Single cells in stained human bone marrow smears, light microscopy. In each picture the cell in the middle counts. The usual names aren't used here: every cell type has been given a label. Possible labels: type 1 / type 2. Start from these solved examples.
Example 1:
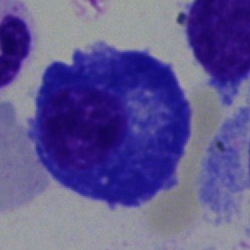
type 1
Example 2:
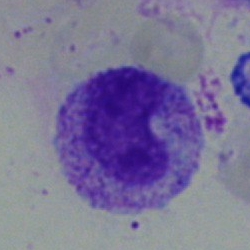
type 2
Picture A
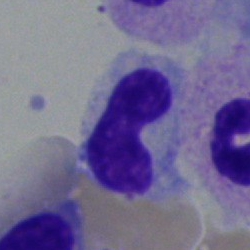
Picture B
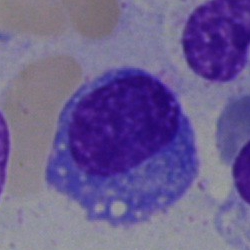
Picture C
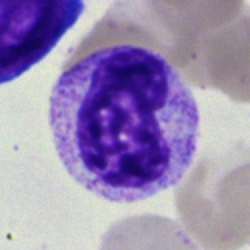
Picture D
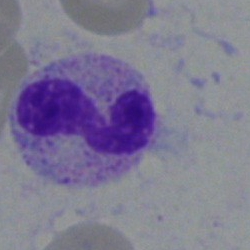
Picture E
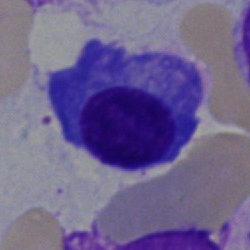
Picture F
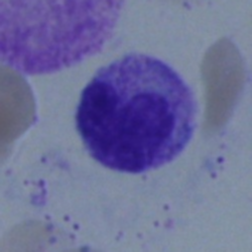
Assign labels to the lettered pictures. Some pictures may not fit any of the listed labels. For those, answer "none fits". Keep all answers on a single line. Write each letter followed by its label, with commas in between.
A none fits, B type 1, C type 2, D none fits, E type 1, F type 2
